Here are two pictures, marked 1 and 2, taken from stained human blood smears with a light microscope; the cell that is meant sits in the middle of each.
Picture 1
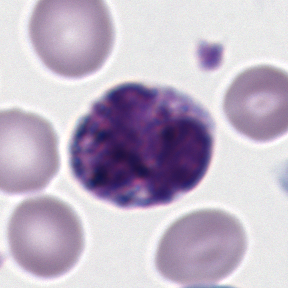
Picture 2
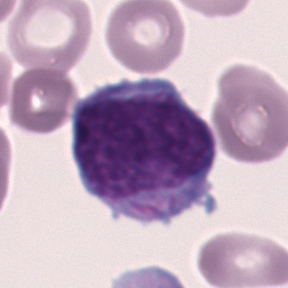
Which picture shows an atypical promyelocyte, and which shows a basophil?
1: basophil
2: atypical promyelocyte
